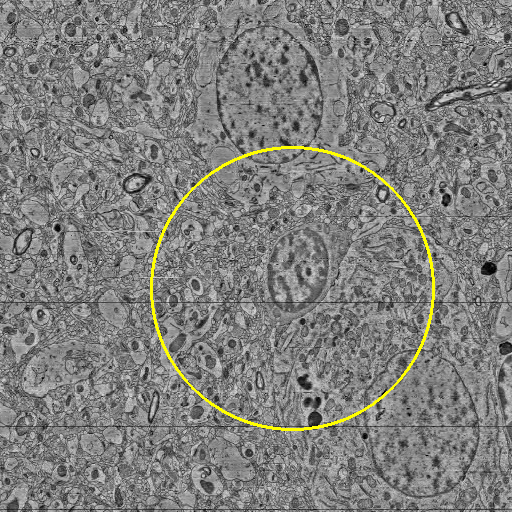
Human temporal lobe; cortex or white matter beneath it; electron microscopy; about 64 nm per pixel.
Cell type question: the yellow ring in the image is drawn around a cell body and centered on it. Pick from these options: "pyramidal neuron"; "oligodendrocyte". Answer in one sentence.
The ringed cell at the center is an oligodendrocyte.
